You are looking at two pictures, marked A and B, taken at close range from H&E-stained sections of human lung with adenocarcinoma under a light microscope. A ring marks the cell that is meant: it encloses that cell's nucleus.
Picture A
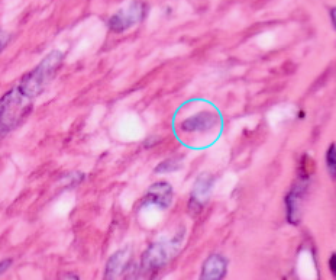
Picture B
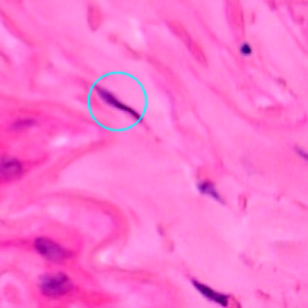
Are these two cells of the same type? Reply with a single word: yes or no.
no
